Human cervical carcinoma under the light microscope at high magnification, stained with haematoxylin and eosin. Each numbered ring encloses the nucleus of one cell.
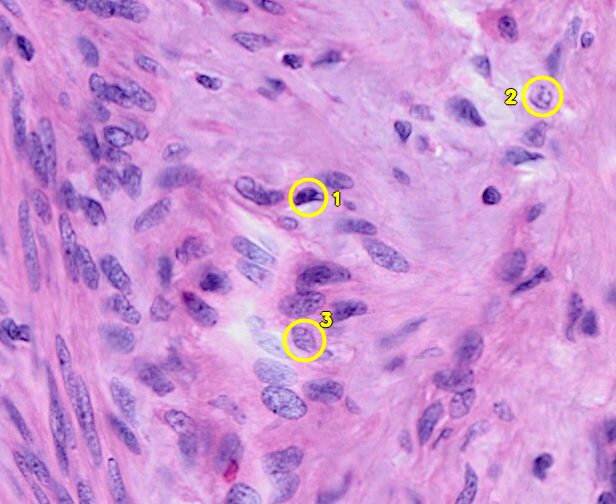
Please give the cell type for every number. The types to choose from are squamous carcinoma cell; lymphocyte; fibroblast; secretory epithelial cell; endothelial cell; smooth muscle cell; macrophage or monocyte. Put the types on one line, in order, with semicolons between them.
lymphocyte; macrophage or monocyte; endothelial cell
